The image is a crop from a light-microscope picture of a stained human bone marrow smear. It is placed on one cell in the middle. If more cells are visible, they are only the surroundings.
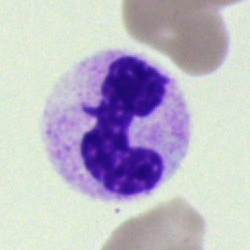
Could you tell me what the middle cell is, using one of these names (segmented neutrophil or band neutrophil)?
band neutrophil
